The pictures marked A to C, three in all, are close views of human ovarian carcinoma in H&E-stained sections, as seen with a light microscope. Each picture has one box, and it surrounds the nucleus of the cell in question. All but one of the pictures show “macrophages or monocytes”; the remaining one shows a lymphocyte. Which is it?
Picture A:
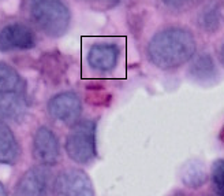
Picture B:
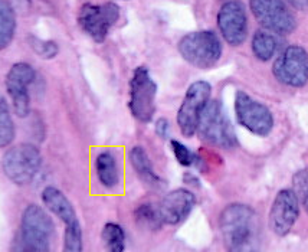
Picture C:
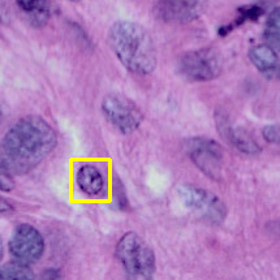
B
